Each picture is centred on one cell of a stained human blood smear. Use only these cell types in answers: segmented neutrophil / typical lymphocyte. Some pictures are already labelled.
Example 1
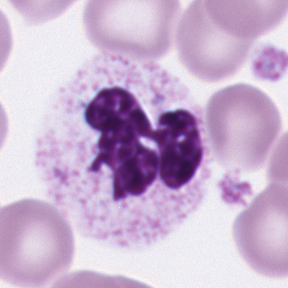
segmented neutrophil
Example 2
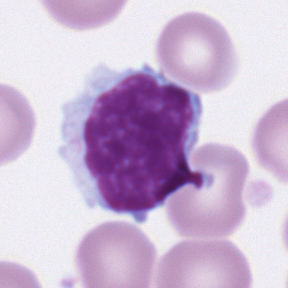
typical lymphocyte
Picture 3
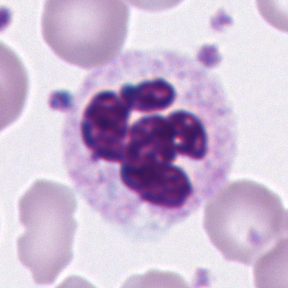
segmented neutrophil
